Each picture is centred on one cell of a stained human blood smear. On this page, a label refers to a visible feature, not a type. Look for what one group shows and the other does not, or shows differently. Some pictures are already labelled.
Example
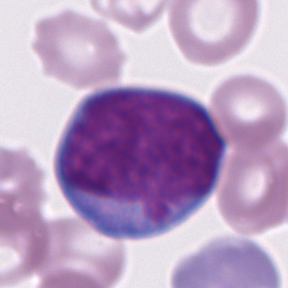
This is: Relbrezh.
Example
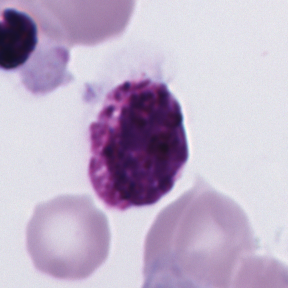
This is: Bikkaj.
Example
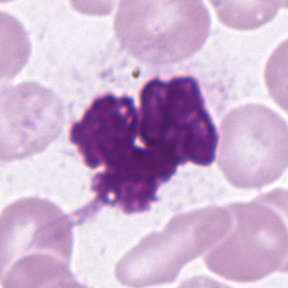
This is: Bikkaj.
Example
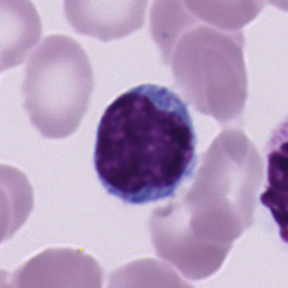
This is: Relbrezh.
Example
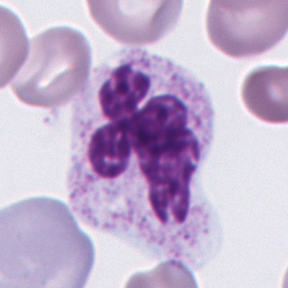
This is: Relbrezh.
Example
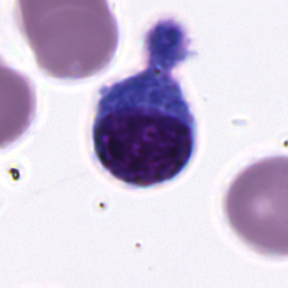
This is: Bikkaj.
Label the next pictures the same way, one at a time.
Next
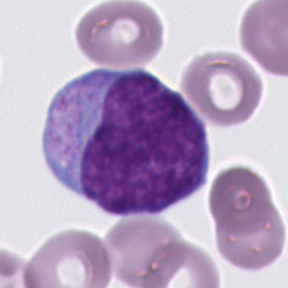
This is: Relbrezh.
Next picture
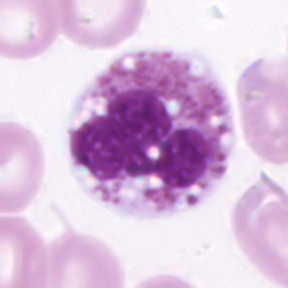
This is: Relbrezh.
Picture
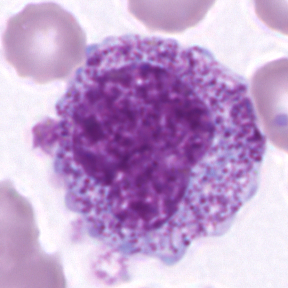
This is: Bikkaj.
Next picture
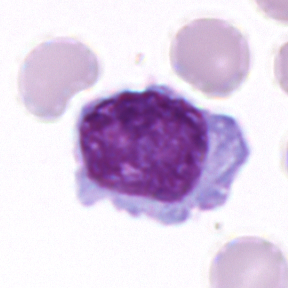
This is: Bikkaj.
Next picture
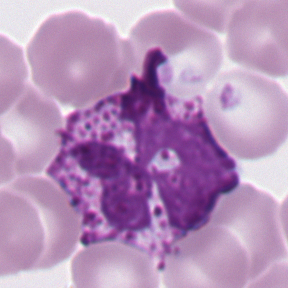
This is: Bikkaj.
